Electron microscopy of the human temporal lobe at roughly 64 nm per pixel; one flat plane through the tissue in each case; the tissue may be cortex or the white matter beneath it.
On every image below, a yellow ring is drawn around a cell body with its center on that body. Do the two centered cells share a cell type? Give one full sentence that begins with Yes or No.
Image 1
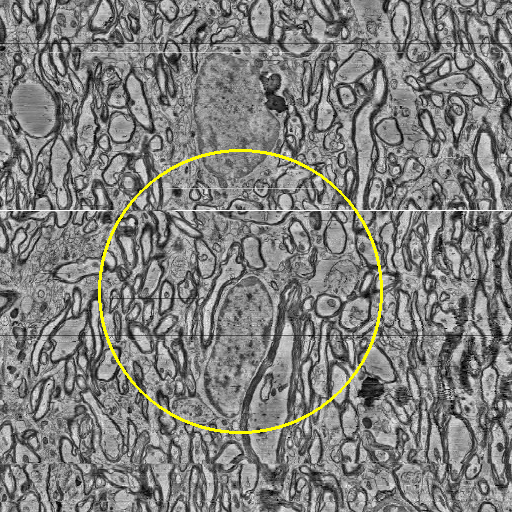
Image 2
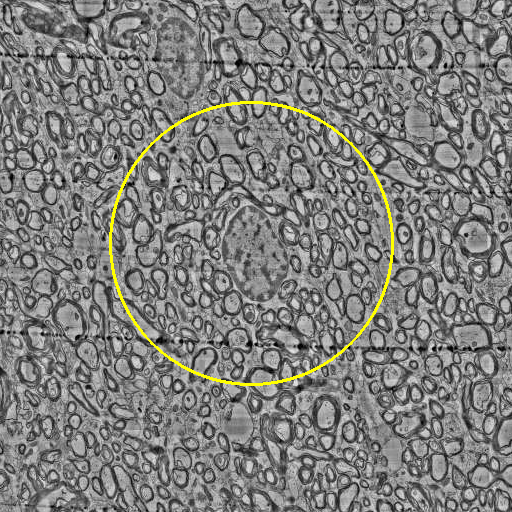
Yes, the centered cells in the two images are of a single cell type.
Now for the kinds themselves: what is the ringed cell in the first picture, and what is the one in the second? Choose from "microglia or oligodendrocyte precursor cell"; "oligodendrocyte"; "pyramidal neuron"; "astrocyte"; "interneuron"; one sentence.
Each one of the two ringed cells is a microglial cell or oligodendrocyte precursor cell.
